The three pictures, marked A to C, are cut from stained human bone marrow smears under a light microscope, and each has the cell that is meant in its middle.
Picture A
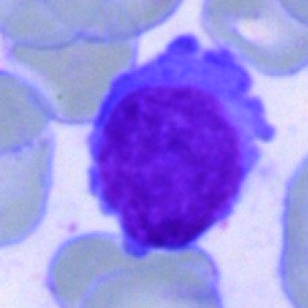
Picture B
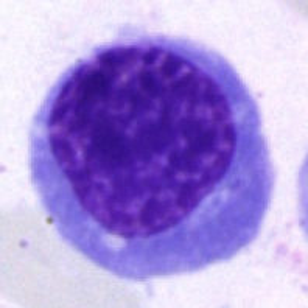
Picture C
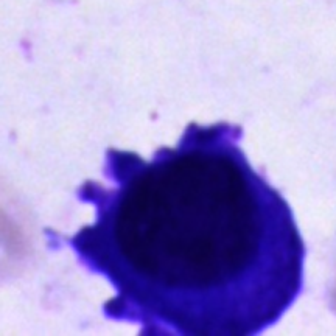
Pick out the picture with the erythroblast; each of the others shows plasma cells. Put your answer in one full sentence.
The cell in picture B is the erythroblast.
